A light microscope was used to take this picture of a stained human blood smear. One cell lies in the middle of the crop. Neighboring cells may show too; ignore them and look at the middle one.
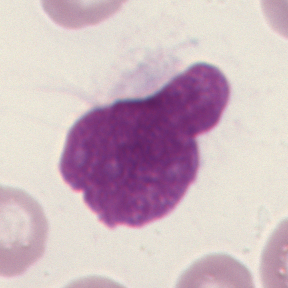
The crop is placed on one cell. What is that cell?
smudge cell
